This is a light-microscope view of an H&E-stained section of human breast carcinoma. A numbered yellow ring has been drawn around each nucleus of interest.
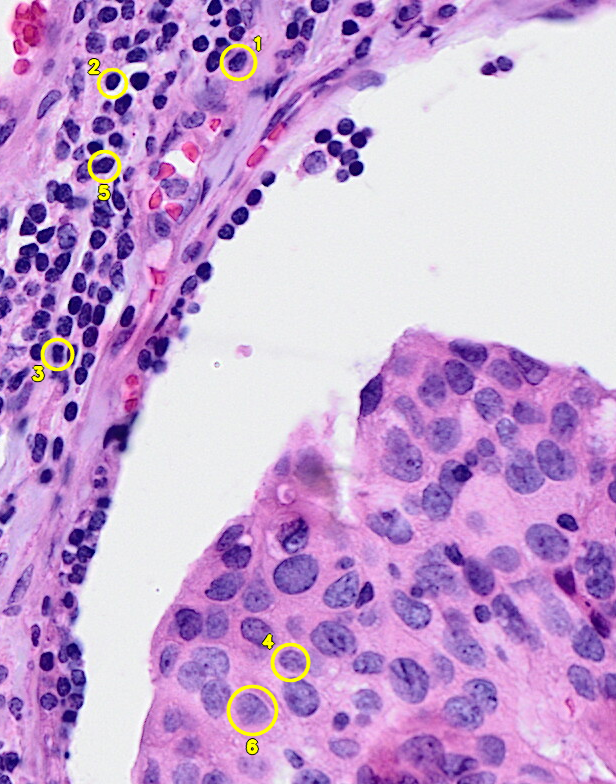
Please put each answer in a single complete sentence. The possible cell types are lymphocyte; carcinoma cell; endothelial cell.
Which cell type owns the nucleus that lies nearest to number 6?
Number 6 lies closest to the nucleus of a carcinoma cell.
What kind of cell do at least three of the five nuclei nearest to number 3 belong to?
Lymphocytes make up most of the five nuclei closest to number 3.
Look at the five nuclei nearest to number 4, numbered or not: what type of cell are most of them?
Around number 4, most of the five nearest nuclei are those of carcinoma cells.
